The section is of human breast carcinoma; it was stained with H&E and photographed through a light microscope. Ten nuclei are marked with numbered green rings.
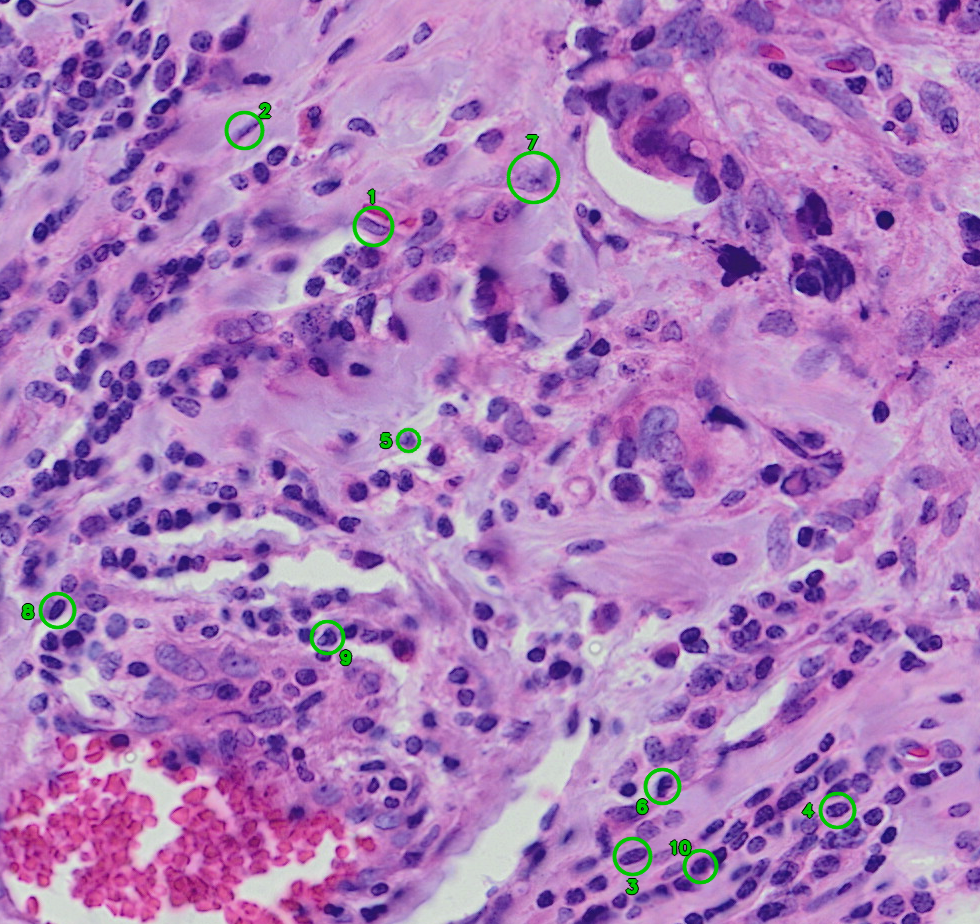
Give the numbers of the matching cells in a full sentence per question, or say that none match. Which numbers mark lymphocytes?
When it comes to cells 3, 4, 6, 8, 9 and 10, they are lymphocytes.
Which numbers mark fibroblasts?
Into the category of fibroblasts fall the cells numbered 2 and 7.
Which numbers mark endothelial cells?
The cell marked by number 1 is an endothelial cell; the other marked cells are not.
